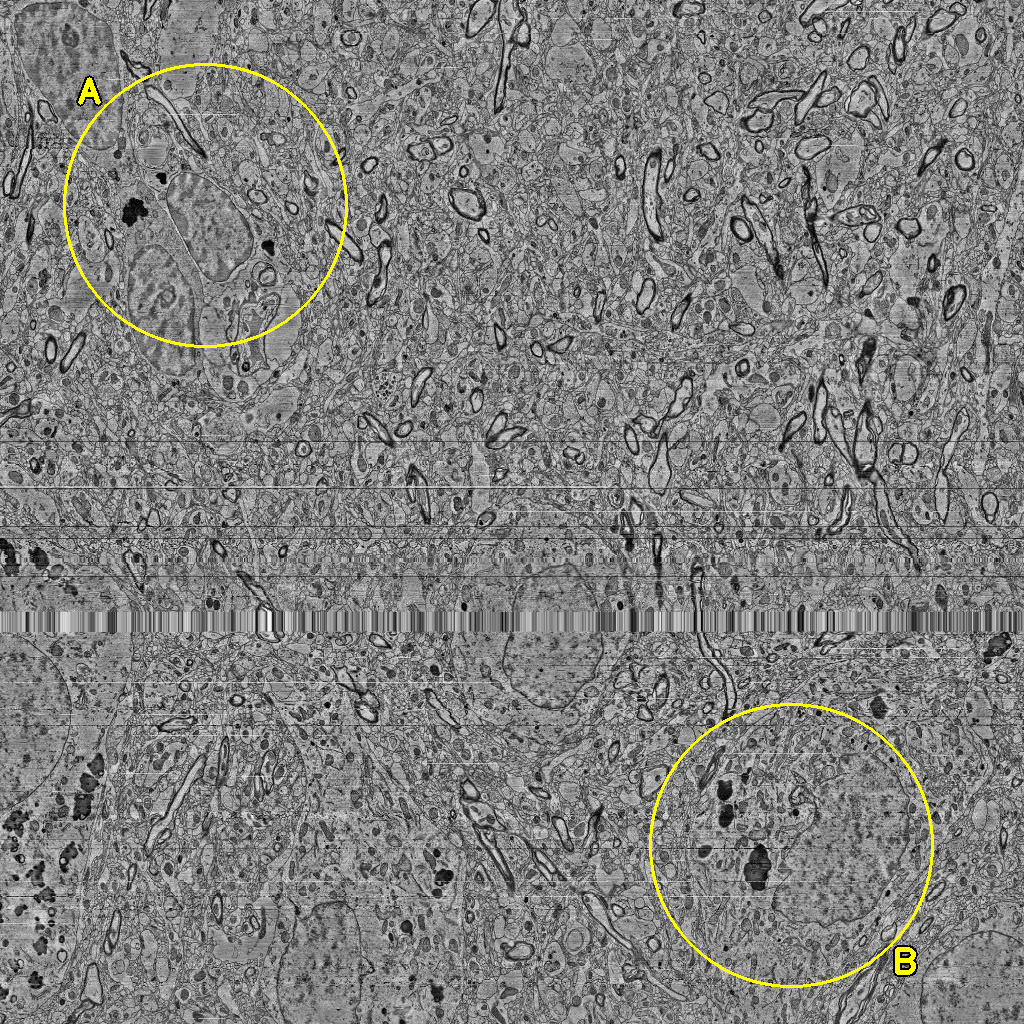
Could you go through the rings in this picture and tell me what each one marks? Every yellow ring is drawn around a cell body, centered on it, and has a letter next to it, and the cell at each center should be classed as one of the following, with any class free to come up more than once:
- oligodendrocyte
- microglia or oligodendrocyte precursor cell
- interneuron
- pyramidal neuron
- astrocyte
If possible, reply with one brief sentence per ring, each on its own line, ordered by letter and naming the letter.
The cell centered in ring A is a microglial cell or oligodendrocyte precursor cell.
The cell centered in ring B is an interneuron.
